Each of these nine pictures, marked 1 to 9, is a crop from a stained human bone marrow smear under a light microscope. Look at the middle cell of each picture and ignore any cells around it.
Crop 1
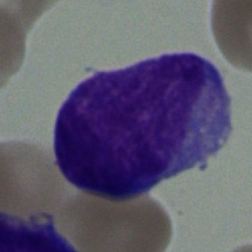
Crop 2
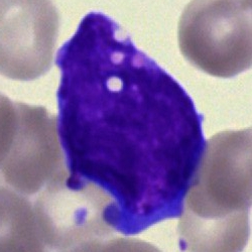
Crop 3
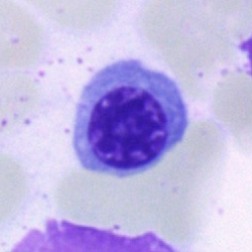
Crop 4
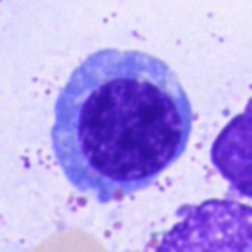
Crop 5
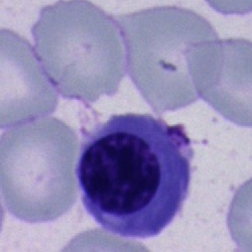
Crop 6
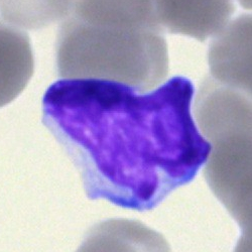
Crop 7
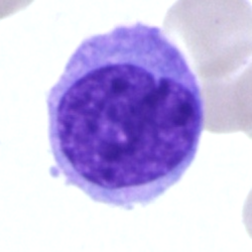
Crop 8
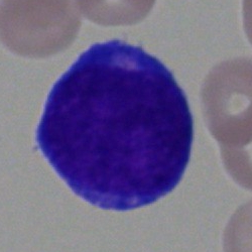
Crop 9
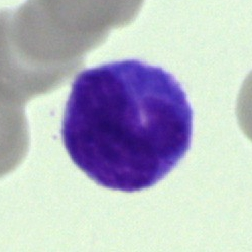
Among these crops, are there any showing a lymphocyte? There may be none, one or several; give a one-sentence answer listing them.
Each crop was checked, and none of them shows a lymphocyte.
